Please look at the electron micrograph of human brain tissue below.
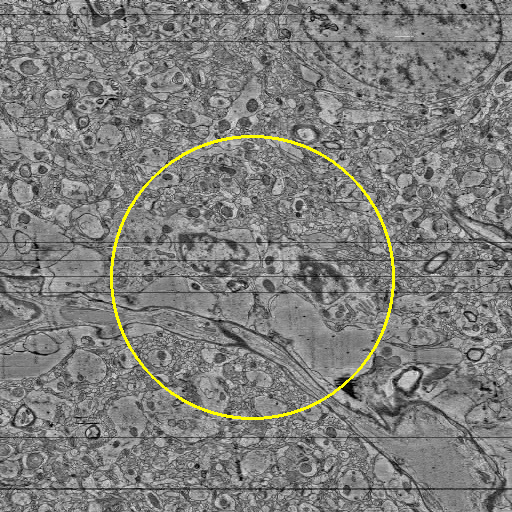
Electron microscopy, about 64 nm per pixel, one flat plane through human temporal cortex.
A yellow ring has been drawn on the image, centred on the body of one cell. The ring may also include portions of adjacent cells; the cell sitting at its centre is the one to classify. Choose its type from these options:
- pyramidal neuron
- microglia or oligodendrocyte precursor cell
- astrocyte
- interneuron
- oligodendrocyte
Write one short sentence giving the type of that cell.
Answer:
The cell in the middle of the ring is a microglial cell or oligodendrocyte precursor cell.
